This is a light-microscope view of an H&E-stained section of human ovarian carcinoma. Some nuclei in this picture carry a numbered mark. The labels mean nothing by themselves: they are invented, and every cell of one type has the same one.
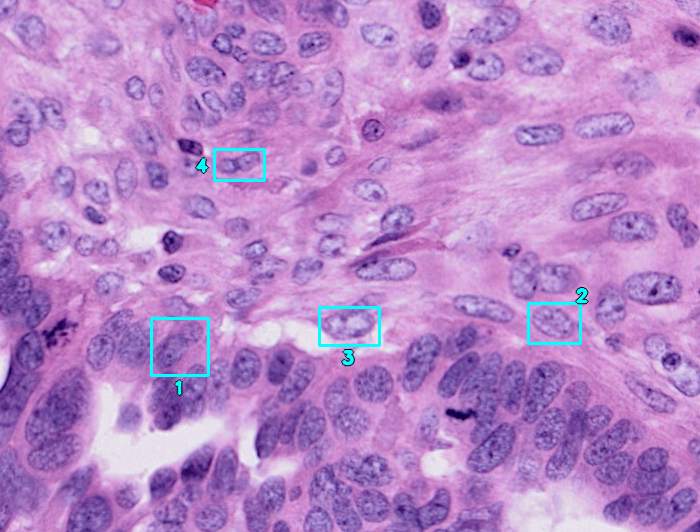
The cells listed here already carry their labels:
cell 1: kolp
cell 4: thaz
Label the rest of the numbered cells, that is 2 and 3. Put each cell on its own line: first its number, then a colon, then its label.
2: thaz
3: thaz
